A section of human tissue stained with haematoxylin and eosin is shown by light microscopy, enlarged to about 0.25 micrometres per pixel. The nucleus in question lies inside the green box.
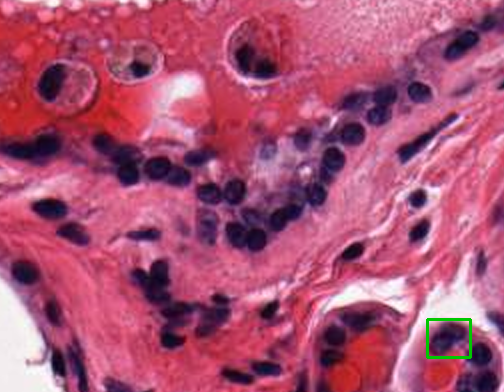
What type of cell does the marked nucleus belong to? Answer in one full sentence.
The marked nucleus is a nucleus of a thyroid follicular cell.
